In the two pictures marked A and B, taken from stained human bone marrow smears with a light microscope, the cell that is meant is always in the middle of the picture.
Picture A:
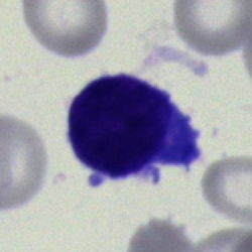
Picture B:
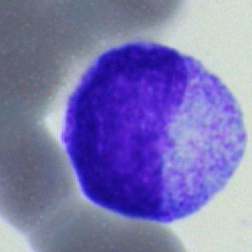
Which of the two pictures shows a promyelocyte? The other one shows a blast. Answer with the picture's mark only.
B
